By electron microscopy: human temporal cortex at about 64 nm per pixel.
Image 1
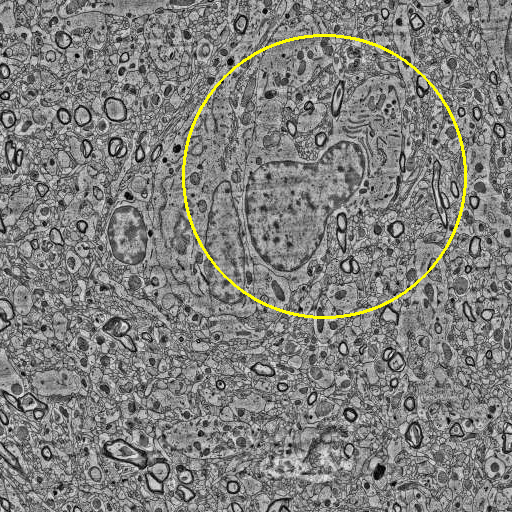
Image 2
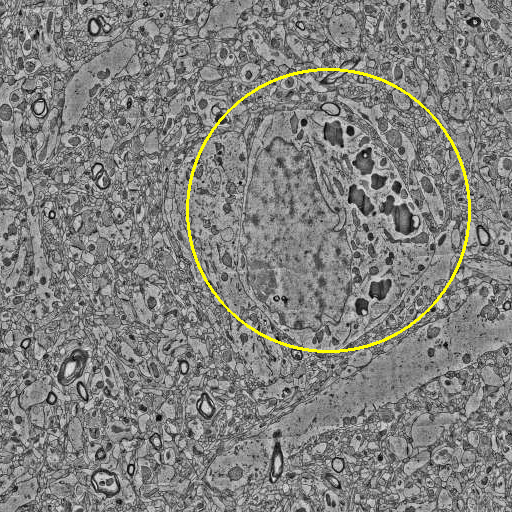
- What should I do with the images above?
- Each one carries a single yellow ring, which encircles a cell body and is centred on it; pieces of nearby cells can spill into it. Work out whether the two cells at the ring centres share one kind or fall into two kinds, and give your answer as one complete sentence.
The ring-centre cells of Image 1 and Image 2 fall into two kinds.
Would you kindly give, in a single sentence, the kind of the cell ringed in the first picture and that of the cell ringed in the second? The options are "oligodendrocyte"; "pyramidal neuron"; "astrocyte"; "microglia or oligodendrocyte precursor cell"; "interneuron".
The second cell is an interneuron, and the first cell is a microglial cell or oligodendrocyte precursor cell.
